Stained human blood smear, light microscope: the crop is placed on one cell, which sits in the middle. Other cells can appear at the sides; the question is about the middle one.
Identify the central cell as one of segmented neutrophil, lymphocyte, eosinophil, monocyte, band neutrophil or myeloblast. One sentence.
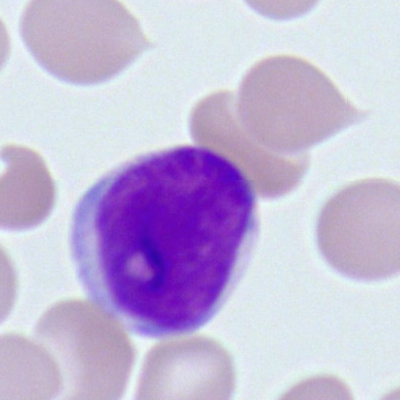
Standing at the centre of this crop is a myeloblast.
